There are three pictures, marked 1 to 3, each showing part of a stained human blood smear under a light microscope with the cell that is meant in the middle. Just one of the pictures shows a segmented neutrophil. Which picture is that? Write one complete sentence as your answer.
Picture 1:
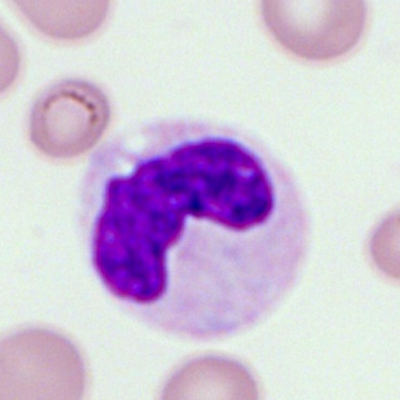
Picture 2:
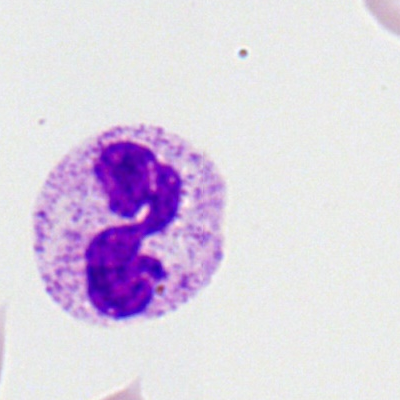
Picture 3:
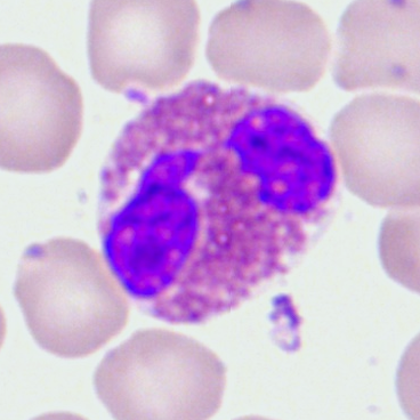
The segmented neutrophil is the one in picture 2.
